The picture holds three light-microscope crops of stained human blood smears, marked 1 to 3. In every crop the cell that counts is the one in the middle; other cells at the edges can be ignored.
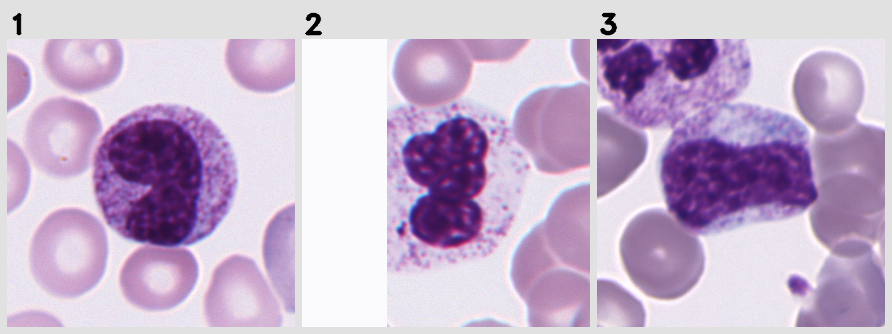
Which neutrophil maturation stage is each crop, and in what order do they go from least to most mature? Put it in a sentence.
The sequence in which maturity rises is crop 3 (a metamyelocyte), crop 1 (a band neutrophil) and crop 2 (a segmented neutrophil).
